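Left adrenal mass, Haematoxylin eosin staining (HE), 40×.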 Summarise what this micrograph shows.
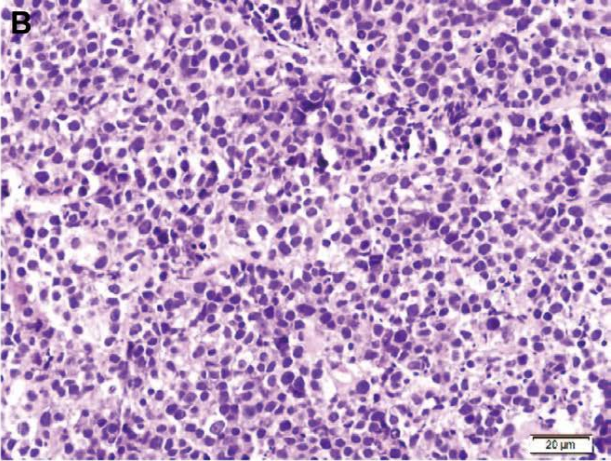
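Densely packed sheets of medium to large round cells fill the field, with dark purple nuclei of varying size and shape and a rim of pale to purplish cytoplasm. There is little intervening stroma and no normal organ architecture, fitting a diffuse infiltrate of tumour cells with dark nuclear chromatin.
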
